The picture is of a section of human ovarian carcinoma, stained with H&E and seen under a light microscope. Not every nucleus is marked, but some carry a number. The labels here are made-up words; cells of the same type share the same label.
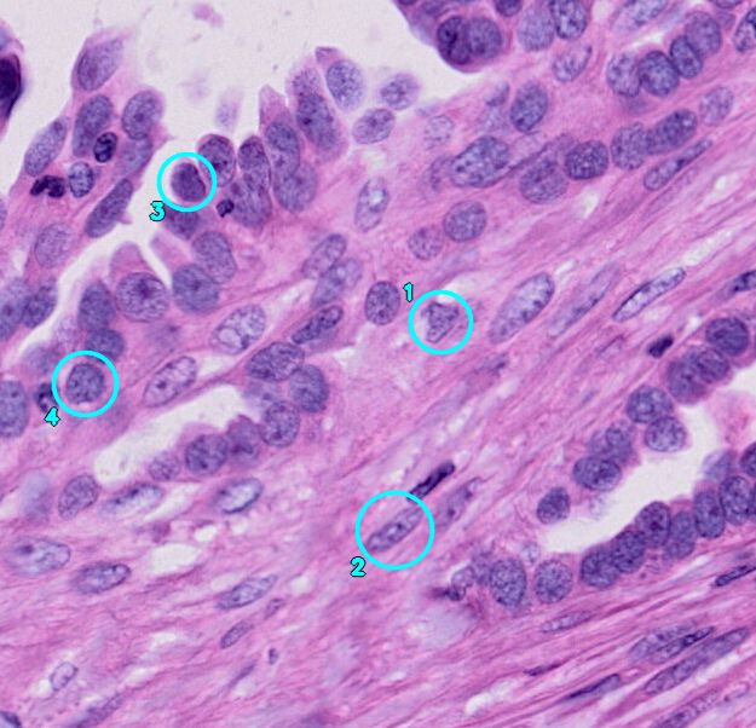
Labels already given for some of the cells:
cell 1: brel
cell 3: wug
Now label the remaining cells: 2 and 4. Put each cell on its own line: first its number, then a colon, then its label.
2: brel
4: wug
